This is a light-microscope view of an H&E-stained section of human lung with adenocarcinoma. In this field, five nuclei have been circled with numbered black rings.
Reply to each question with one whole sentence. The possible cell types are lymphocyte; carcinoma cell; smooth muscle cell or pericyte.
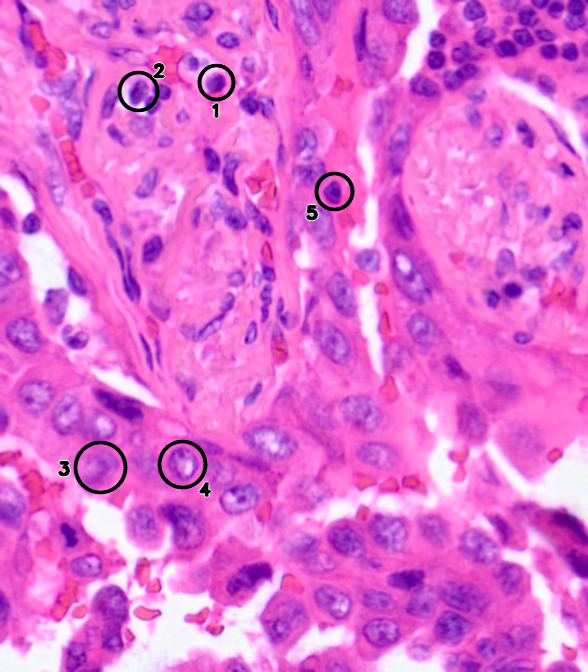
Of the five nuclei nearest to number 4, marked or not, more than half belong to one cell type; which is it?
Carcinoma cells account for more than half of the five nuclei nearest to number 4.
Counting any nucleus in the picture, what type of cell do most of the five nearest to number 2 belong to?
Around number 2, most of the five nearest nuclei are those of lymphocytes.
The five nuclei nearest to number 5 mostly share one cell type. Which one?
The majority of the five nuclei closest to number 5 belong to carcinoma cells.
